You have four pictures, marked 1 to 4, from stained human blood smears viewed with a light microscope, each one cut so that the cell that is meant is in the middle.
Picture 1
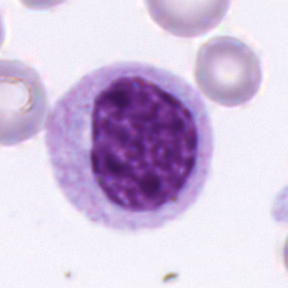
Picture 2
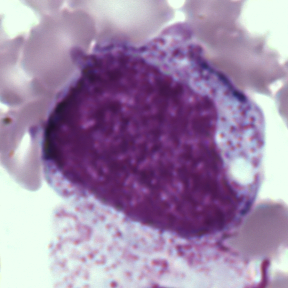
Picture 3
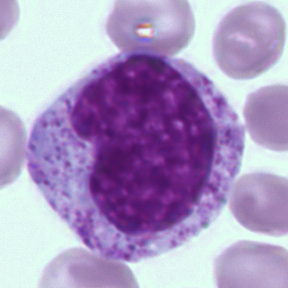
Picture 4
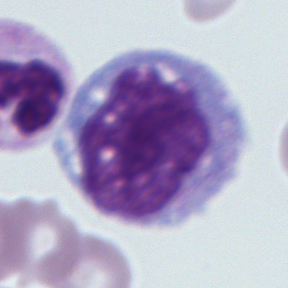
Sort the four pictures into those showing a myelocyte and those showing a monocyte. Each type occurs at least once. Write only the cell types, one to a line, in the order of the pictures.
myelocyte
myelocyte
myelocyte
monocyte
